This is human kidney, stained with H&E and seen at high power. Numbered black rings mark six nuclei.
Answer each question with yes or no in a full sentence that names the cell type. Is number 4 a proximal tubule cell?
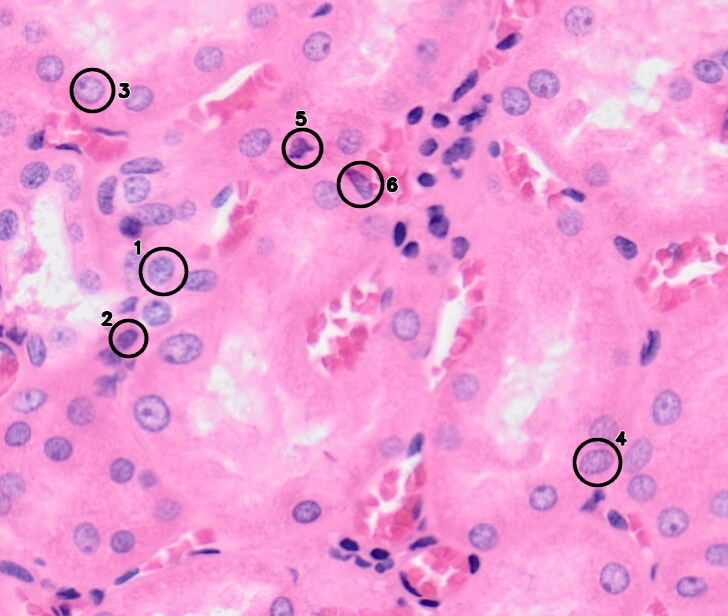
Yes, the cell denoted by 4 is a proximal tubule cell.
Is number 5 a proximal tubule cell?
Yes, for number 5, the cell is a proximal tubule cell.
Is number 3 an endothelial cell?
No, the cell given the number 3 is a proximal tubule cell, so not an endothelial cell.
